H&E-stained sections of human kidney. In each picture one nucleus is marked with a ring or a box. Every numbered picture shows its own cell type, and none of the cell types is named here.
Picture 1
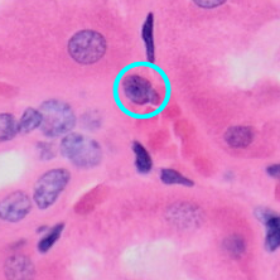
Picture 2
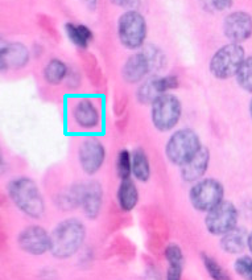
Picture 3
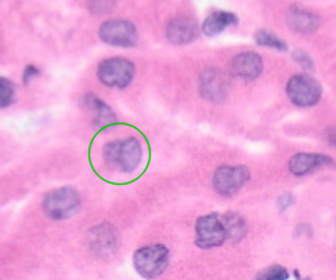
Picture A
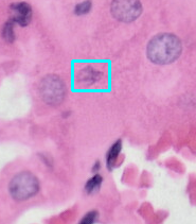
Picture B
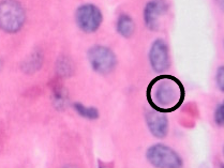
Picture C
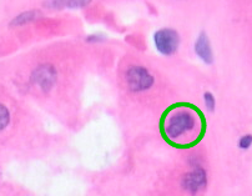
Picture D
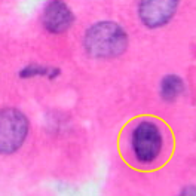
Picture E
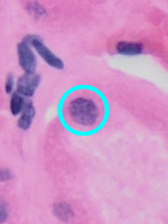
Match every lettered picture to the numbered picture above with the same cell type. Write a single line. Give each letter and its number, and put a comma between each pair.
A 3, B 2, C 3, D 3, E 3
